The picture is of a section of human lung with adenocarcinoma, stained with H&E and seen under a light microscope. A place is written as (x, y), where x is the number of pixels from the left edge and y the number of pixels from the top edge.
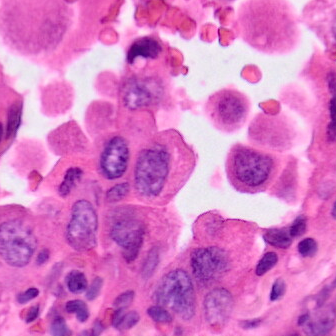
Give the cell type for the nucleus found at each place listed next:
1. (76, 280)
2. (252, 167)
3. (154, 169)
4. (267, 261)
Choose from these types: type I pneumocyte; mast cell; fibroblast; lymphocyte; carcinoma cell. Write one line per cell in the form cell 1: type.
cell 1: lymphocyte
cell 2: carcinoma cell
cell 3: carcinoma cell
cell 4: lymphocyte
